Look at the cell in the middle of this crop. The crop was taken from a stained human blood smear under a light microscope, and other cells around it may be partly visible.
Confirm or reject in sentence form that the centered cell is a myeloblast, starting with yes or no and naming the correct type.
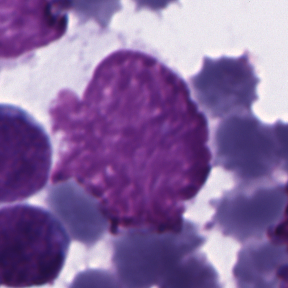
No, the central cell is not a myeloblast; it is a smudge cell.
